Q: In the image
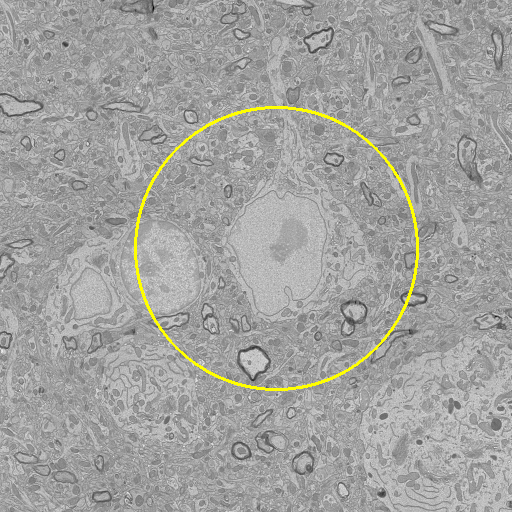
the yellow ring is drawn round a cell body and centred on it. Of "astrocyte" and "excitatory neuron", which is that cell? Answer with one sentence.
The cell centred in the ring is an excitatory neuron.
